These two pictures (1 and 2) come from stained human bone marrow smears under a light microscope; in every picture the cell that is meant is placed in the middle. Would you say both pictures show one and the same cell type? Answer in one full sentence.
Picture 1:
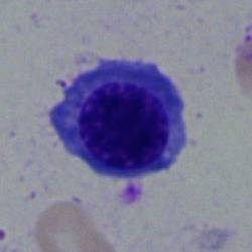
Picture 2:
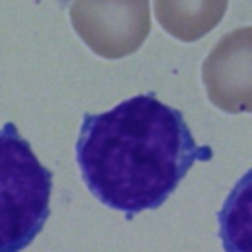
No, they differ: the cell is an erythroblast in picture 1 and a lymphocyte in picture 2.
